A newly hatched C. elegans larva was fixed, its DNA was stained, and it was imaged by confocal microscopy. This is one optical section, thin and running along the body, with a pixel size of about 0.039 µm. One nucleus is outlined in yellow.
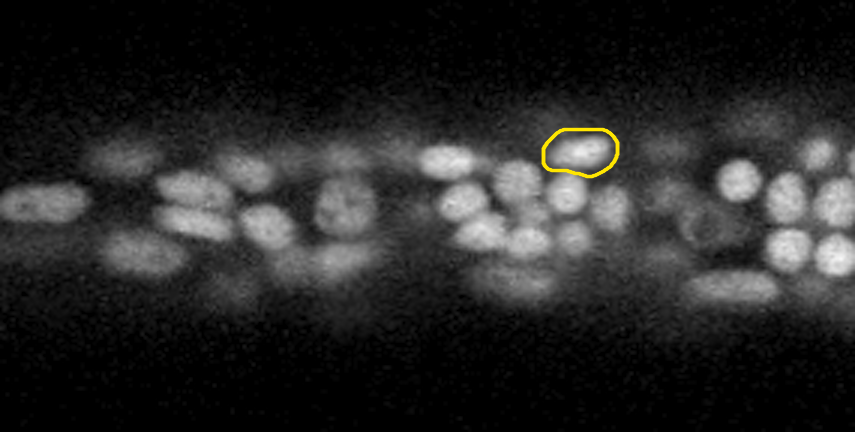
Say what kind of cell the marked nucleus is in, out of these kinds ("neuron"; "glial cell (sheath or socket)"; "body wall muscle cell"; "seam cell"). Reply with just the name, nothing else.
glial cell (sheath or socket)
